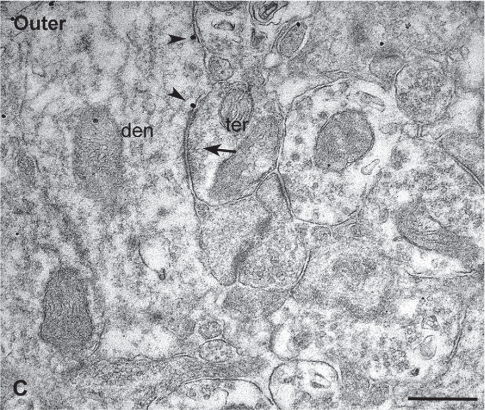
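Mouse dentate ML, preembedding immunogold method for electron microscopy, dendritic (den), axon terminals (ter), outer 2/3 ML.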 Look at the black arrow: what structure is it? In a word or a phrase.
Symmetric synapses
